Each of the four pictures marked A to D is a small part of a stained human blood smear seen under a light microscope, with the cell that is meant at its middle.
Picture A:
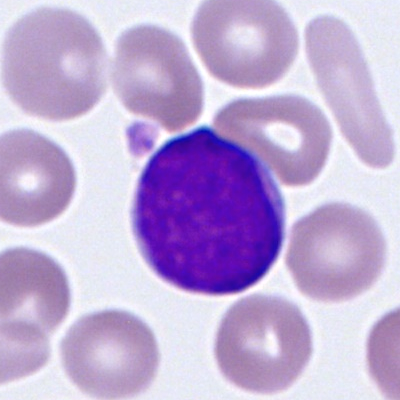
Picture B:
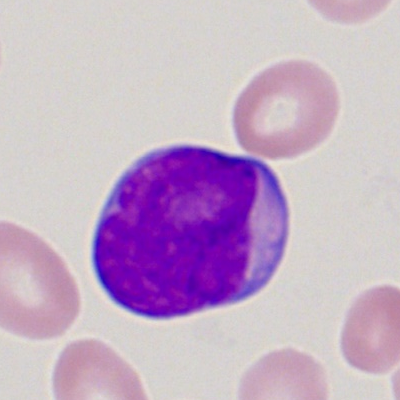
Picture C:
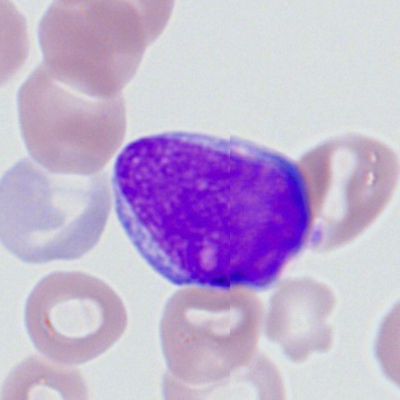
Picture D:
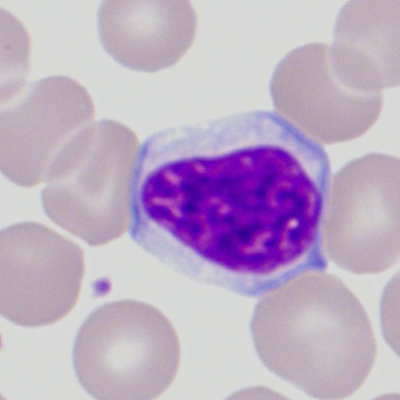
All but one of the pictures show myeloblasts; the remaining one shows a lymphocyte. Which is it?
D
